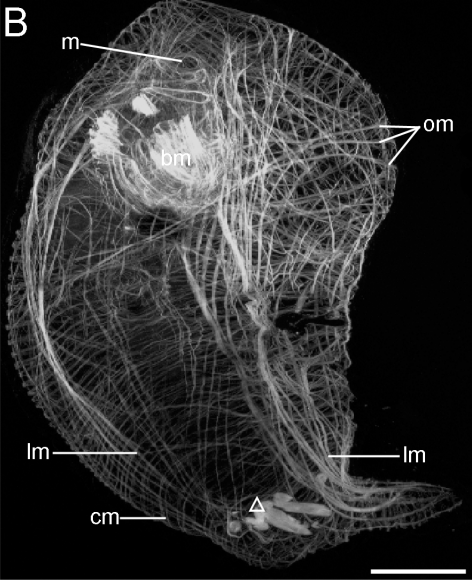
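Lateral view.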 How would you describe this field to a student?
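Fine fibres encircle the body at close intervals, while thicker bundles run lengthwise down the body toward the tapering hind end. Further fibres cross these obliquely, especially in the upper part of the body.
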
